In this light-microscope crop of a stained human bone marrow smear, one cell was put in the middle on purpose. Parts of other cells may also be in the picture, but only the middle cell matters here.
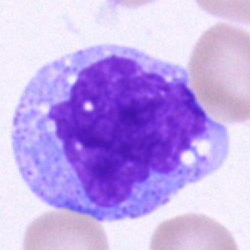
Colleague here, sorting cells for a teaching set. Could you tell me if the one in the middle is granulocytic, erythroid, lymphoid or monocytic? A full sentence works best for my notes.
The cell situated centrally in the crop is of the monocytic lineage.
